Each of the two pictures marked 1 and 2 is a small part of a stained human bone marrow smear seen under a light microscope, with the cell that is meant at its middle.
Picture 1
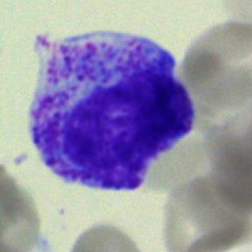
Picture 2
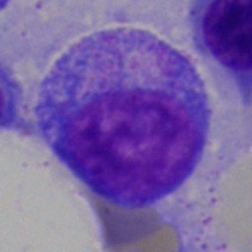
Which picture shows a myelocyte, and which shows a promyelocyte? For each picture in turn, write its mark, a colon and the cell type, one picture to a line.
1: myelocyte
2: promyelocyte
